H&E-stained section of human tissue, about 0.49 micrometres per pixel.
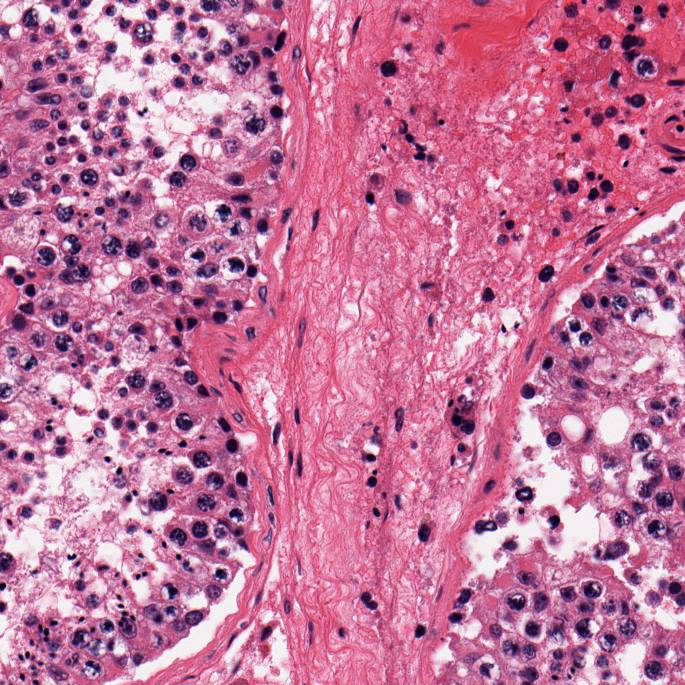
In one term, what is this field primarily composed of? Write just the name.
seminiferous tubule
